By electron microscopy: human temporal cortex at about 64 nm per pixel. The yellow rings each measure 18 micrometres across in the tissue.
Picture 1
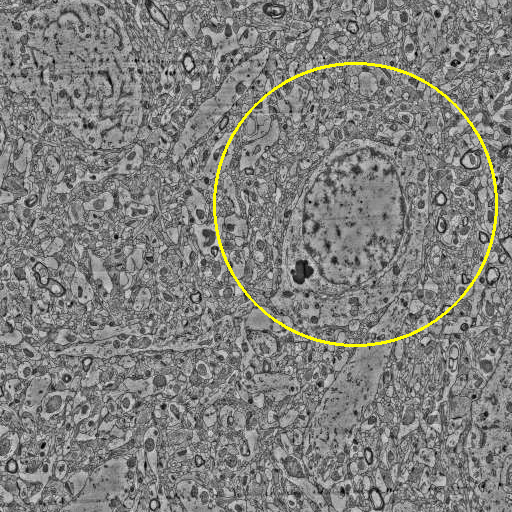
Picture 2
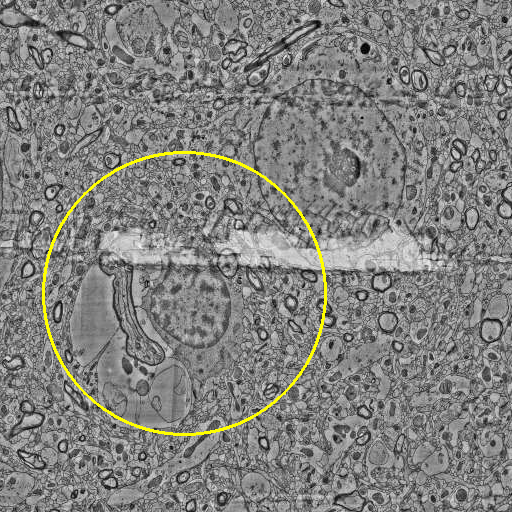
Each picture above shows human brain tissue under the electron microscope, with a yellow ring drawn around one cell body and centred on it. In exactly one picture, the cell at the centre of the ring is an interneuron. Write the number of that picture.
1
